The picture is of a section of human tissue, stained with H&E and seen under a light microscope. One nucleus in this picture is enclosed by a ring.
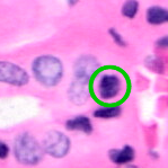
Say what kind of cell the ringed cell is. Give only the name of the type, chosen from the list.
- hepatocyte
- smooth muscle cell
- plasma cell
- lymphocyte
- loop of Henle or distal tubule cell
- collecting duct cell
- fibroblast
collecting duct cell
